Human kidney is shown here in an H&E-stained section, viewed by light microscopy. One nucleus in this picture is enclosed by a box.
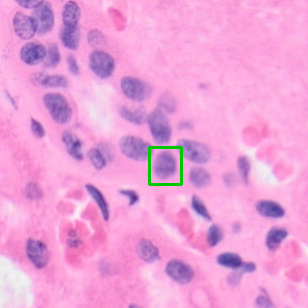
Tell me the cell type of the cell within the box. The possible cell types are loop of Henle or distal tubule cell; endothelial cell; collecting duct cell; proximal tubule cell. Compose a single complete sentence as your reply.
Histopathologically, the cell within the box is a collecting duct cell.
